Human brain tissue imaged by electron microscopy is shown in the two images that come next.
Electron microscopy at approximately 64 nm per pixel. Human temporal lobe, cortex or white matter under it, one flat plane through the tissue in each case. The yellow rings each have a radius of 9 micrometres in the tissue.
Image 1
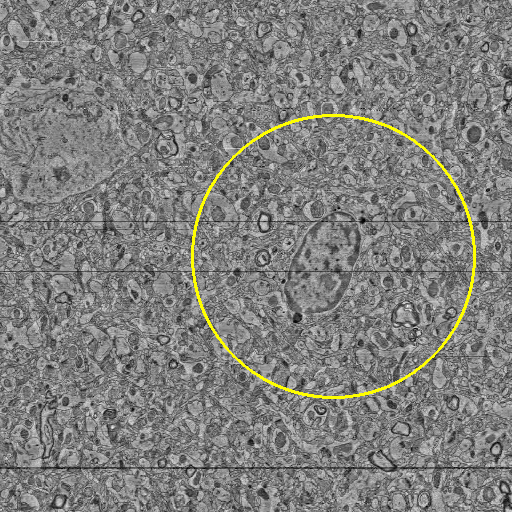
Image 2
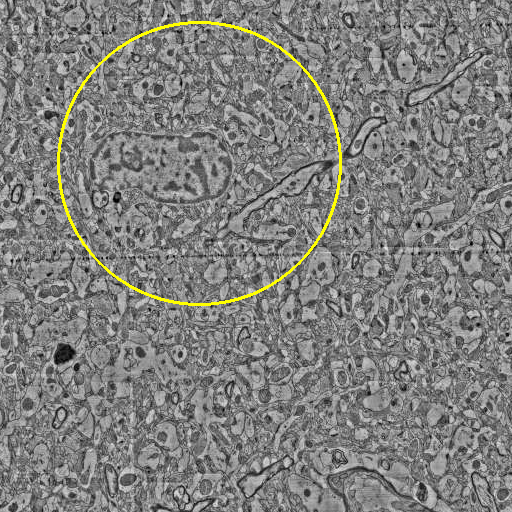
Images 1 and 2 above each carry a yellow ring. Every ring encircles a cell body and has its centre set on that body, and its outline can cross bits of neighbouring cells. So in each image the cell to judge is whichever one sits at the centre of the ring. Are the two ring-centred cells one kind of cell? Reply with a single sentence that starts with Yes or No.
Yes, in Image 1 and Image 2 the cells at the centres of their rings fall into one type.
